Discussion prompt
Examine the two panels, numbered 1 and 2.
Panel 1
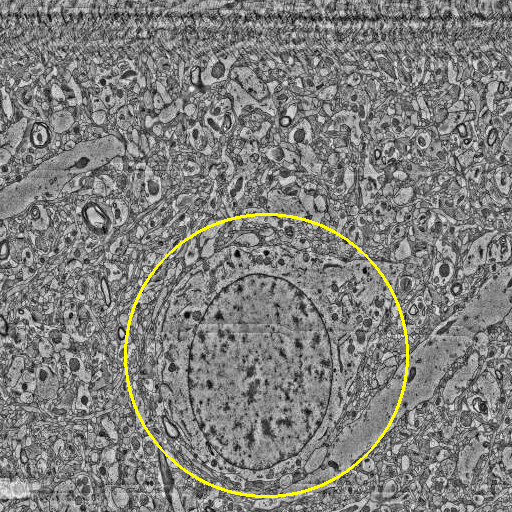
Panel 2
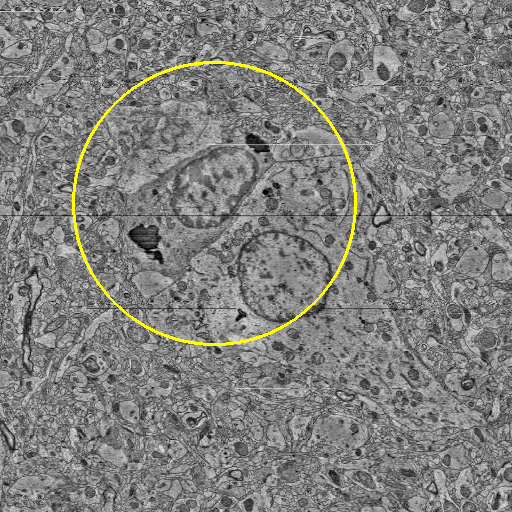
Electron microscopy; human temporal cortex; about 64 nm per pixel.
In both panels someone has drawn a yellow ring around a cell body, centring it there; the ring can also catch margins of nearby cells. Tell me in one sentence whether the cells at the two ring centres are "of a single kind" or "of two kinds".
Taken together, the two cells centred in the rings of Panels 1 and 2 are of two kinds.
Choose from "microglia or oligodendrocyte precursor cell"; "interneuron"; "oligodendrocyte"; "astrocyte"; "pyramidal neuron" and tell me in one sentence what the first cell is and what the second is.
What the first ring is centred on is a pyramidal neuron; what the second ring is centred on is an oligodendrocyte.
